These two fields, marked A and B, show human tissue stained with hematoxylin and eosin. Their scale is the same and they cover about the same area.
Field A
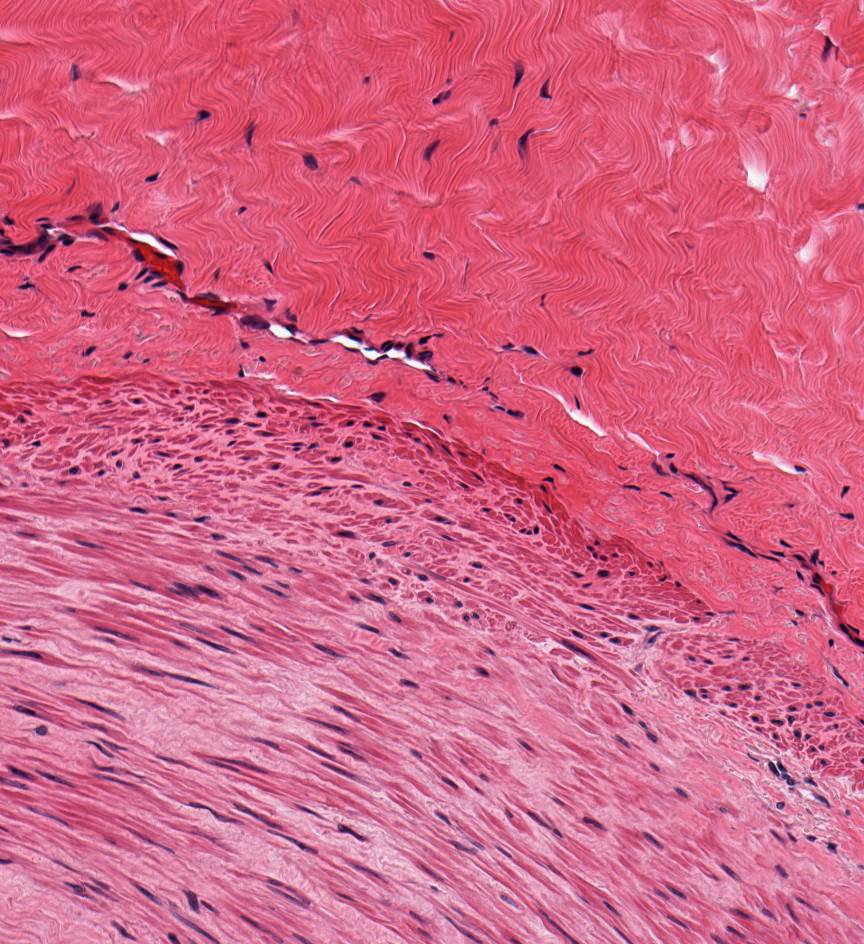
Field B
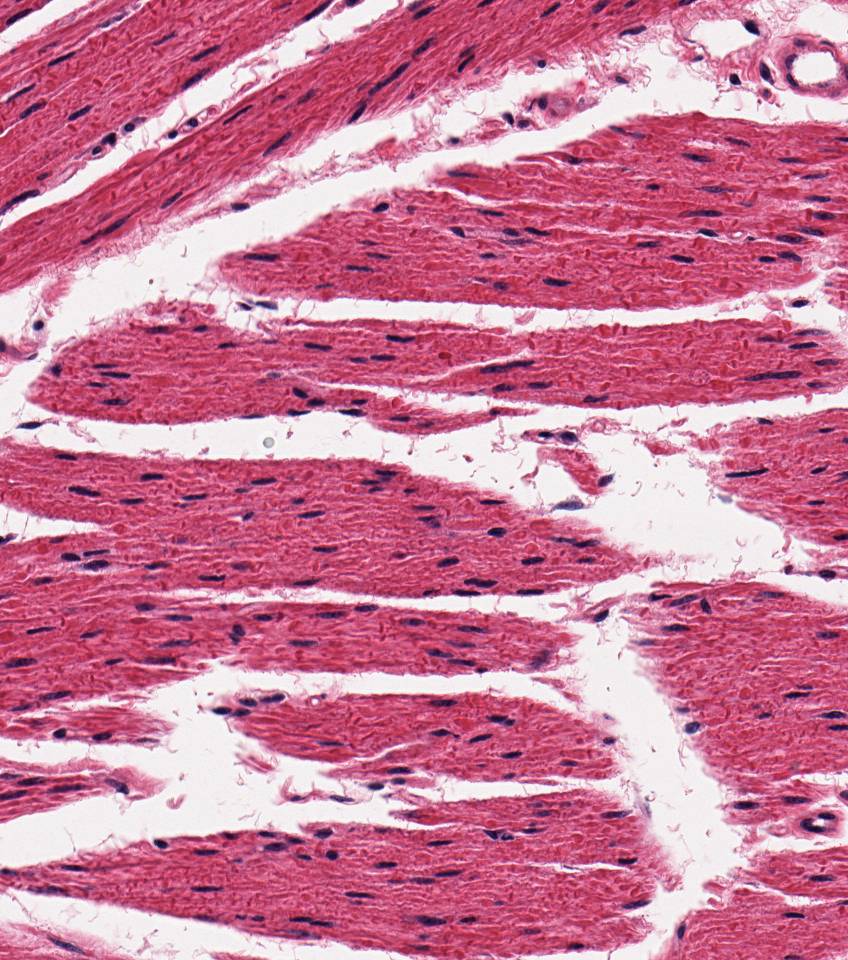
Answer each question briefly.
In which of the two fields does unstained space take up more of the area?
B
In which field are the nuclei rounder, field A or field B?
A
